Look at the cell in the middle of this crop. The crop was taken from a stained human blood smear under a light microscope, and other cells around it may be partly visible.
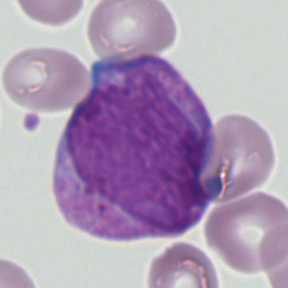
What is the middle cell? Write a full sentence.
At the middle of the frame sits an atypical promyelocyte.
